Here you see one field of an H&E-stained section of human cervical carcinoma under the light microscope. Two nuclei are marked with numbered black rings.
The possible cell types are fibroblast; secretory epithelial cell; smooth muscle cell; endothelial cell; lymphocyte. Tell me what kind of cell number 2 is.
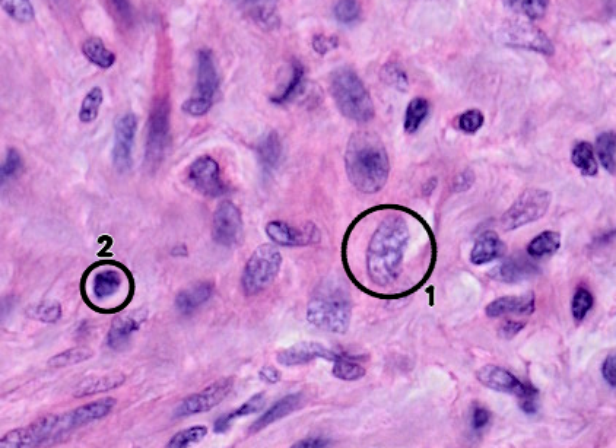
lymphocyte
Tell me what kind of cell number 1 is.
endothelial cell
